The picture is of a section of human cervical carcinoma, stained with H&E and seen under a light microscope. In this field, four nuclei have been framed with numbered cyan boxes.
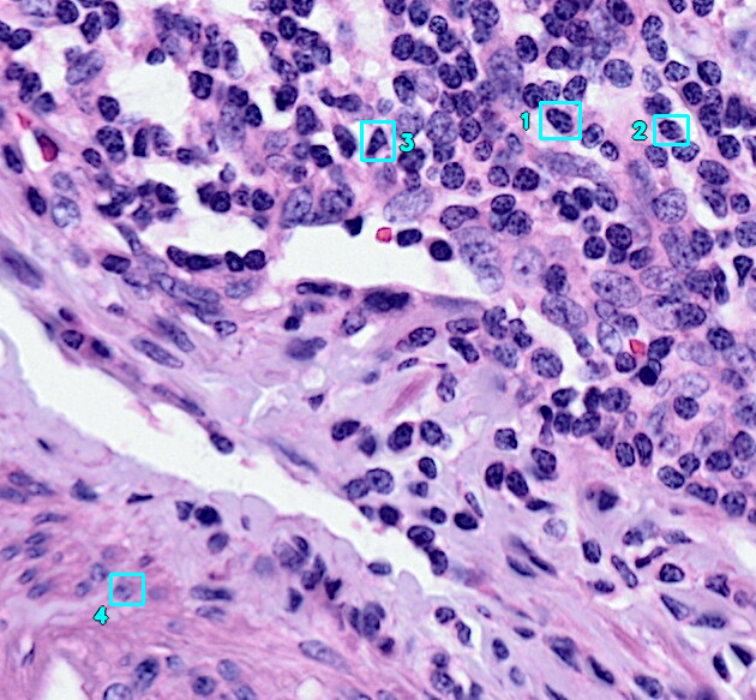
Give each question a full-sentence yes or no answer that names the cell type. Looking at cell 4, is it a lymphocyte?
No, the cell tagged 4 is a smooth muscle cell, and not a lymphocyte.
